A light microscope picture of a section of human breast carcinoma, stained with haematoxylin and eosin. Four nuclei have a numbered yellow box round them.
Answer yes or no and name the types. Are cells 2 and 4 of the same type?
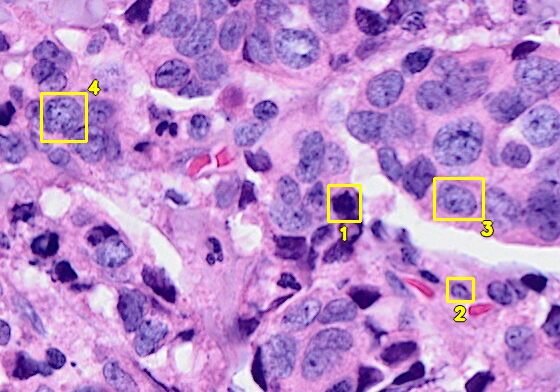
No, cell 2 is an endothelial cell and cell 4 is a carcinoma cell.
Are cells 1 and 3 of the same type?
Yes, both are carcinoma cells.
